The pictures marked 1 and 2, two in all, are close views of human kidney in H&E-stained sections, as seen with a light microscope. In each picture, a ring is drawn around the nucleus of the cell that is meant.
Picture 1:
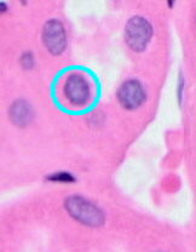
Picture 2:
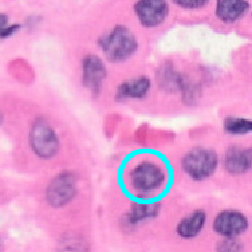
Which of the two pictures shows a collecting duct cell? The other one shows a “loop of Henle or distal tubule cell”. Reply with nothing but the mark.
2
